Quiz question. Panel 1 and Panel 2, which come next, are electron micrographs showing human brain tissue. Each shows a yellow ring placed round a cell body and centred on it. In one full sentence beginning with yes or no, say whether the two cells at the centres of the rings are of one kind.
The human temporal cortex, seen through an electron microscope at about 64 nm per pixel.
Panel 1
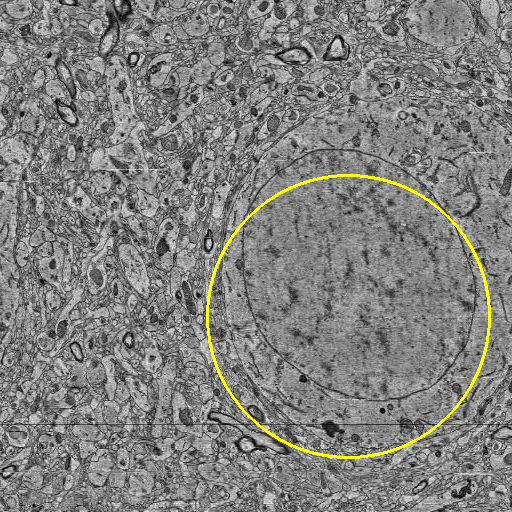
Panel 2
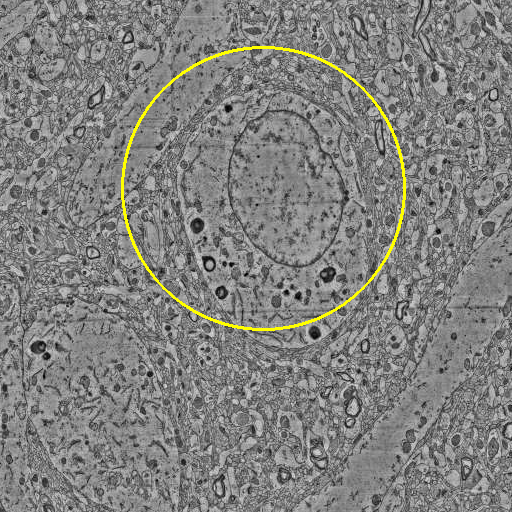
Yes, Panel 1 and Panel 2 show one kind of cell at the centre of the ring.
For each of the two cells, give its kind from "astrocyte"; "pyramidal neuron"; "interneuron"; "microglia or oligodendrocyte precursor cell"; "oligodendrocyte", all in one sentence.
Each of the two pictures has a pyramidal neuron at the ring centre.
